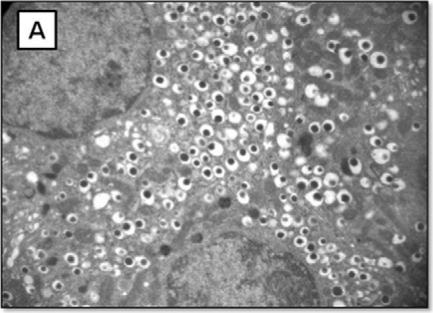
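This is an electron micrograph of endocrine cells from an islet. Most have a small dense core set in a wide clear halo inside a membrane, so they look like dark dots in white rings. Darker elongated and oval profiles scattered among the granules are probably mitochondria. The granules are densest in the central and right parts of the field, and cell borders run faintly between the cells.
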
